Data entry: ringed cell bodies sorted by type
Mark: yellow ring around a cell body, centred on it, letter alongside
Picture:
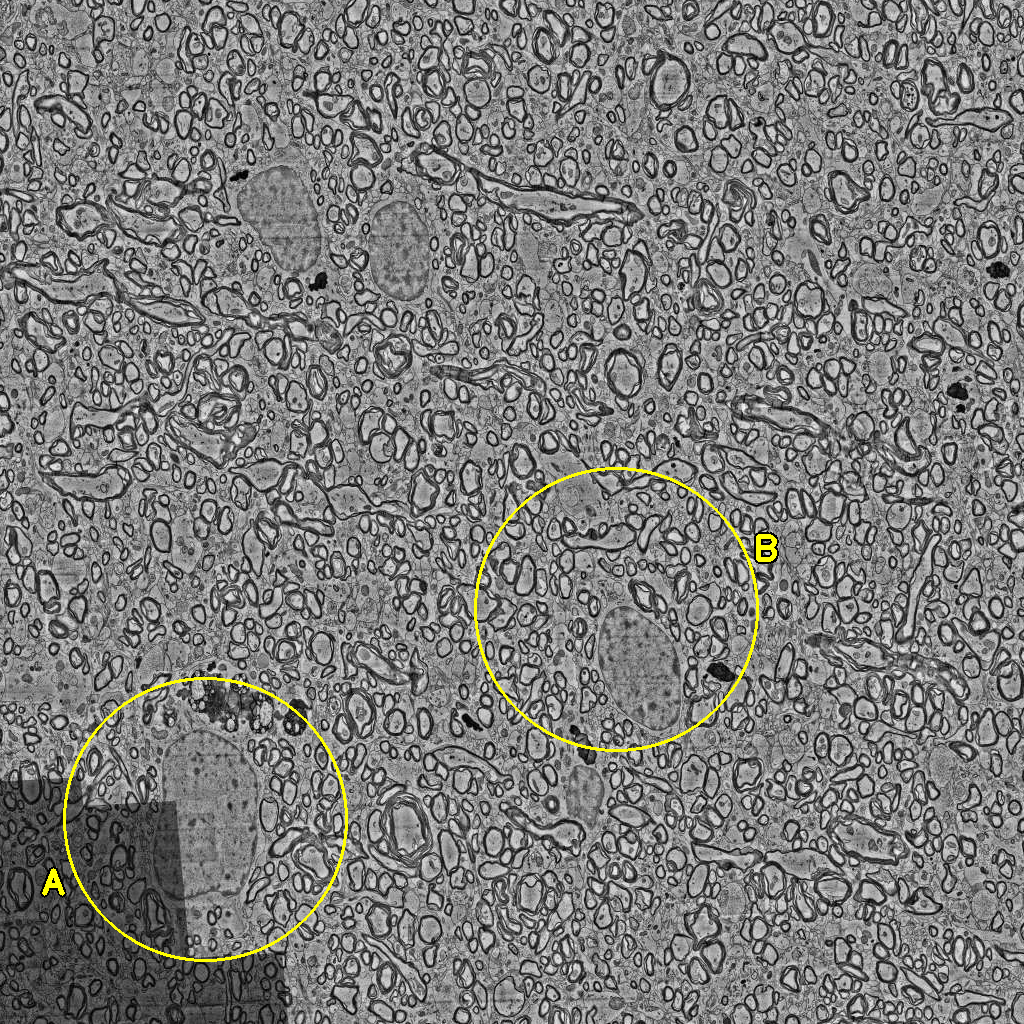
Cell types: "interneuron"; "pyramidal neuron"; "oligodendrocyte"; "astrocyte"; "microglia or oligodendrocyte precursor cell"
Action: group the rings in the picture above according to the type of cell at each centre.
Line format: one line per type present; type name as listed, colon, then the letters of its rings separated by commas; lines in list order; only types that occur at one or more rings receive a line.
astrocyte: A
microglia or oligodendrocyte precursor cell: B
